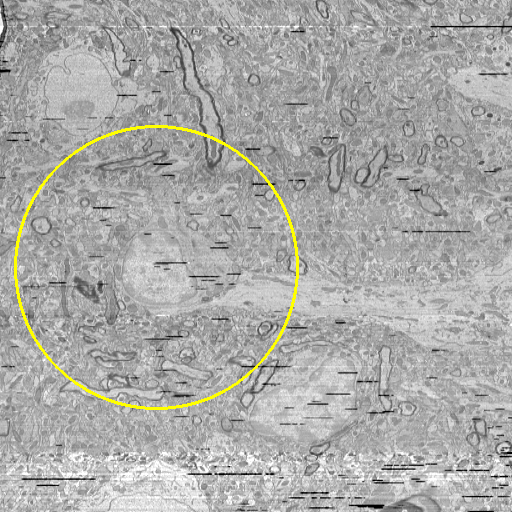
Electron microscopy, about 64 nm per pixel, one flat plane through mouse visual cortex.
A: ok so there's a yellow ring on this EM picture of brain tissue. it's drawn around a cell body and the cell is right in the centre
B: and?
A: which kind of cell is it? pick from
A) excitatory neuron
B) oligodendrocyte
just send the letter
B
